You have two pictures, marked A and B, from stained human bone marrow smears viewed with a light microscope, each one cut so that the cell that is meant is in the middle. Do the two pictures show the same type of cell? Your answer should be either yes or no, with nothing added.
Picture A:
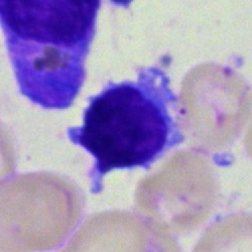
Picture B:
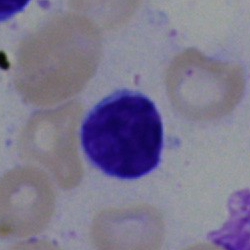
yes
